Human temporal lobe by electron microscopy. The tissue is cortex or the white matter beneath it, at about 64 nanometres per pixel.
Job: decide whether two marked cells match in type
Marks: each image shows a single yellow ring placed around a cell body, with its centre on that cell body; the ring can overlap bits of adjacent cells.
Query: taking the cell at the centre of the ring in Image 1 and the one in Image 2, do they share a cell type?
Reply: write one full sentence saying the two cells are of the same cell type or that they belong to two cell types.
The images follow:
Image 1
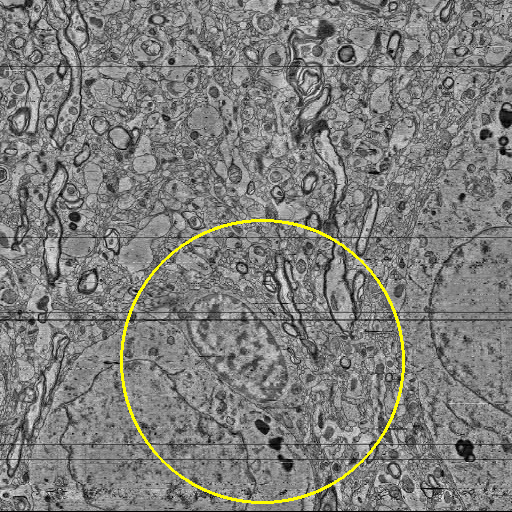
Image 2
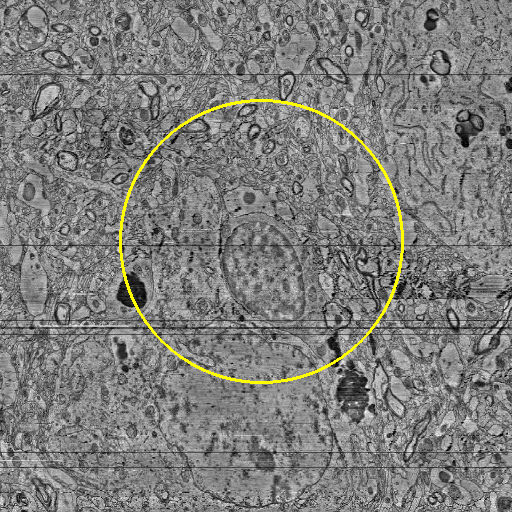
The cells at the ring centres in Image 1 and Image 2 are of the same cell type.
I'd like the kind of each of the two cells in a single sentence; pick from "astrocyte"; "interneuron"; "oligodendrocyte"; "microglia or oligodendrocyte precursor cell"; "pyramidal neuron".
Both pictures show an oligodendrocyte at the centre of the ring.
